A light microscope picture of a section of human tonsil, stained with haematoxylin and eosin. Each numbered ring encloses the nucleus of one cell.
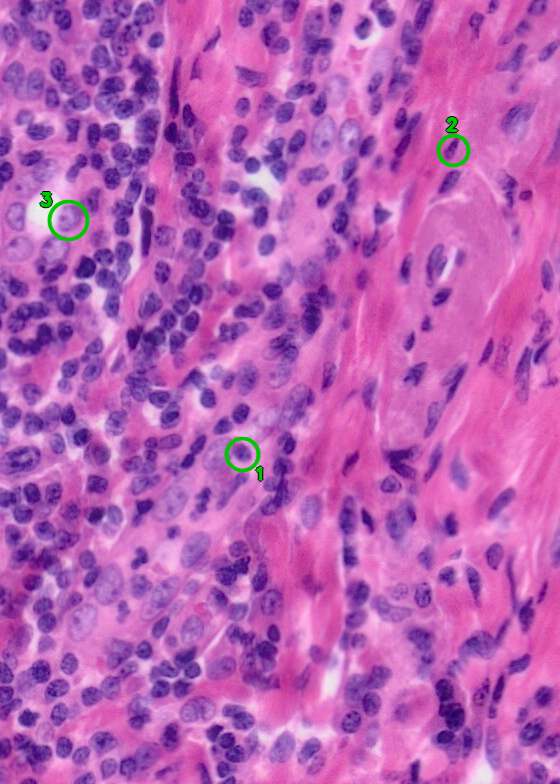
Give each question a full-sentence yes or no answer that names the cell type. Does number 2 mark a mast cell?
Yes, number 2 is assigned to a cell that is a mast cell.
